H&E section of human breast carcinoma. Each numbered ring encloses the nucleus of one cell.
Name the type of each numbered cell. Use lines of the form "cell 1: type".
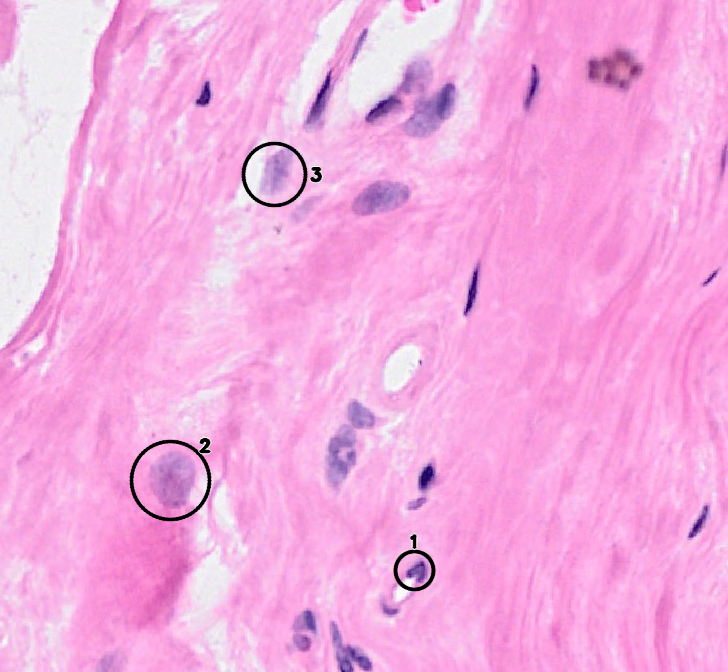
cell 1: endothelial cell
cell 2: fibroblast
cell 3: fibroblast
